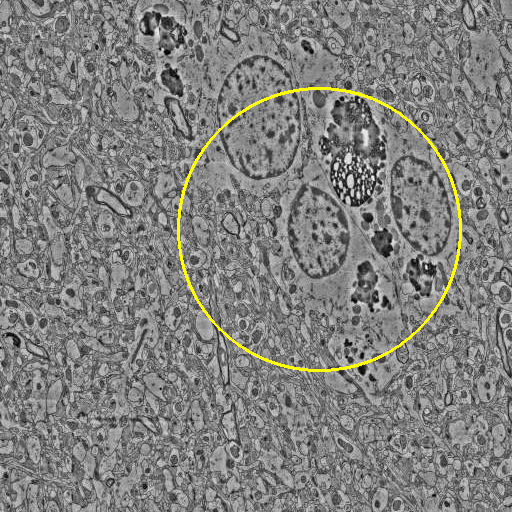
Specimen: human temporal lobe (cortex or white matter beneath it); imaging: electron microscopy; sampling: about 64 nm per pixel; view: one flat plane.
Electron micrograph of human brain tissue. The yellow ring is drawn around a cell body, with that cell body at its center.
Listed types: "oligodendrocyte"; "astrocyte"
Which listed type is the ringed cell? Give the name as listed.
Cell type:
astrocyte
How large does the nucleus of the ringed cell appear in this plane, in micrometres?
In this plane, the nucleus of the cell at the centre of the ring measures about 6 by 4 micrometres.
